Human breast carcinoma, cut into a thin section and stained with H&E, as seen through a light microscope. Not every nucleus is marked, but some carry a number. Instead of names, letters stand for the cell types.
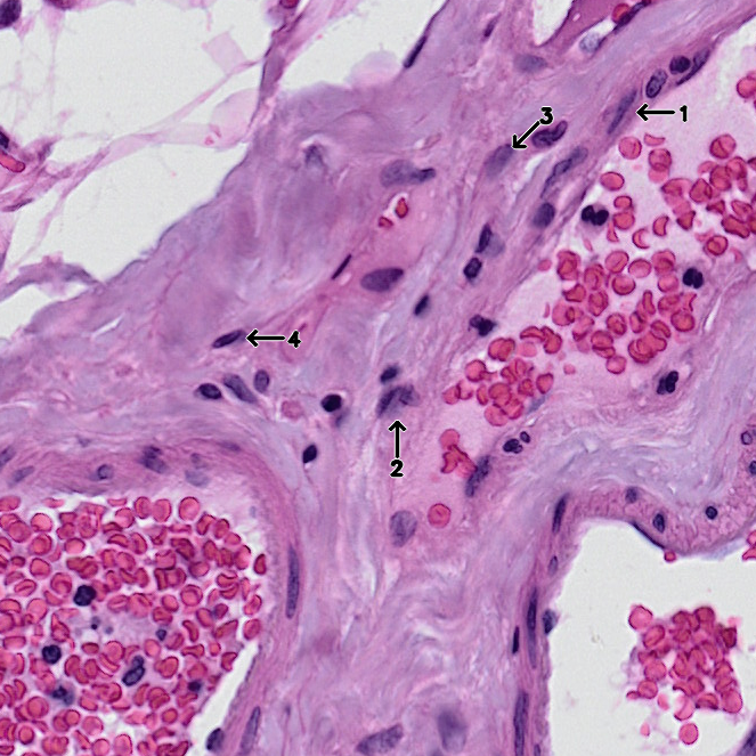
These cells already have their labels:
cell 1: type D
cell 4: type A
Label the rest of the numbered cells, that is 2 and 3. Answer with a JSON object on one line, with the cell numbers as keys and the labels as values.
{"2": "type A", "3": "type A"}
